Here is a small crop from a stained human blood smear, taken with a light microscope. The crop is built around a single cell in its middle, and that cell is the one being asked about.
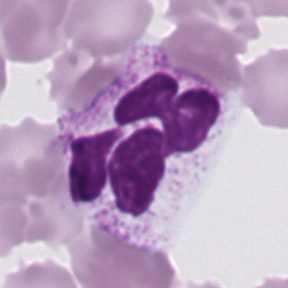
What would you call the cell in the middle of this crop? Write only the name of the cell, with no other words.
neutrophil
